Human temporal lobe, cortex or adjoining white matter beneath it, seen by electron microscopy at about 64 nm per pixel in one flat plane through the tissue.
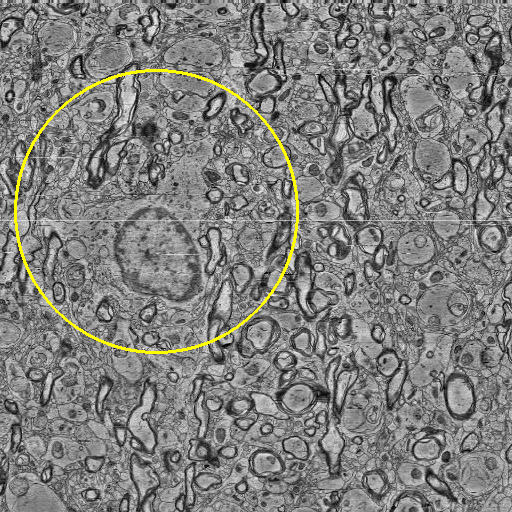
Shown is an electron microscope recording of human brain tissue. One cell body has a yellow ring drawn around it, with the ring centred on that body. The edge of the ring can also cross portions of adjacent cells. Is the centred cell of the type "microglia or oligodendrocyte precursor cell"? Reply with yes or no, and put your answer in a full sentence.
Yes, in the picture, the cell on which the ring is centred has this type.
